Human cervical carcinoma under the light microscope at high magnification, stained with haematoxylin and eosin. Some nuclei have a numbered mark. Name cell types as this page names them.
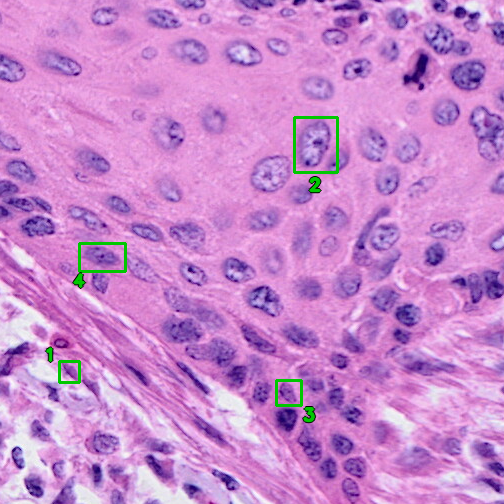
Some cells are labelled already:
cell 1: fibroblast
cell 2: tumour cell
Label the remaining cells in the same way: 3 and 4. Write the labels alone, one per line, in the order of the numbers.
tumour cell
tumour cell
